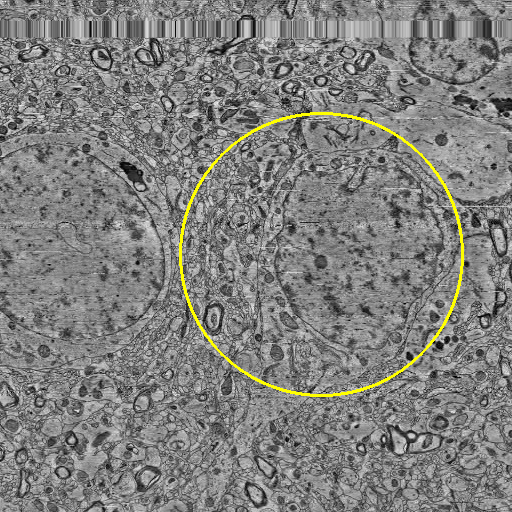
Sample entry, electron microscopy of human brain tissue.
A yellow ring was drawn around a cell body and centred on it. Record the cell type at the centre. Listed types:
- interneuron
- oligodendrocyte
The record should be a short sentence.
The cell at the ring's centre is an interneuron.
